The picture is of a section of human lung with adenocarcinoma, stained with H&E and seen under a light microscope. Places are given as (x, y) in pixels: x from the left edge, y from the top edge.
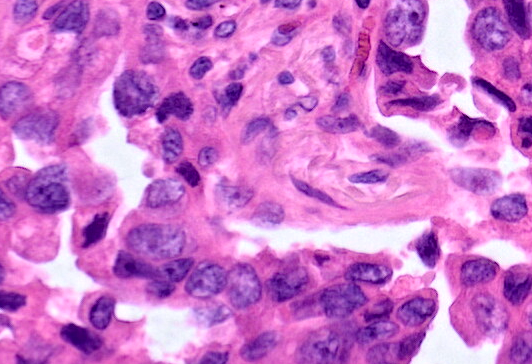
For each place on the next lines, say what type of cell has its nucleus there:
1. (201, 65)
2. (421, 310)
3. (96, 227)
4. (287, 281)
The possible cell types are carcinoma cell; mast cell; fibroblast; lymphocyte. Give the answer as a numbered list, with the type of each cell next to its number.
1. lymphocyte
2. carcinoma cell
3. carcinoma cell
4. carcinoma cell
